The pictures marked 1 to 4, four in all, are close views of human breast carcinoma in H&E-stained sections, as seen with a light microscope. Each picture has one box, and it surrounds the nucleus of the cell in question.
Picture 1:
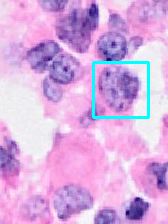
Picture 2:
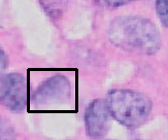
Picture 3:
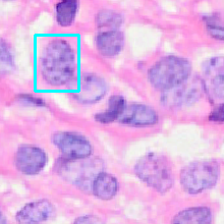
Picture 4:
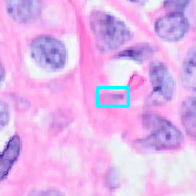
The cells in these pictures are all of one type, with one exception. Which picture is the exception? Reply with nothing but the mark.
4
